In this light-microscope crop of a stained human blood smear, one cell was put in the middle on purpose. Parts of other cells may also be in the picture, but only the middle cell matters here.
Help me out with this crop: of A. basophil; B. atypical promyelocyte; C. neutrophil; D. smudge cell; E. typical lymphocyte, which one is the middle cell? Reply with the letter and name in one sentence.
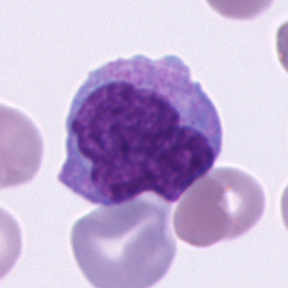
Option B is correct, and the cell in the centre is an atypical promyelocyte.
